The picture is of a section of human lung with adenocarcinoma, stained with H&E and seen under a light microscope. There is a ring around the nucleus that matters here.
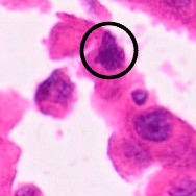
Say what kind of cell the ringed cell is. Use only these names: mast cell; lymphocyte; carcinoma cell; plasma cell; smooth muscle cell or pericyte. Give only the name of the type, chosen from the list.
carcinoma cell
